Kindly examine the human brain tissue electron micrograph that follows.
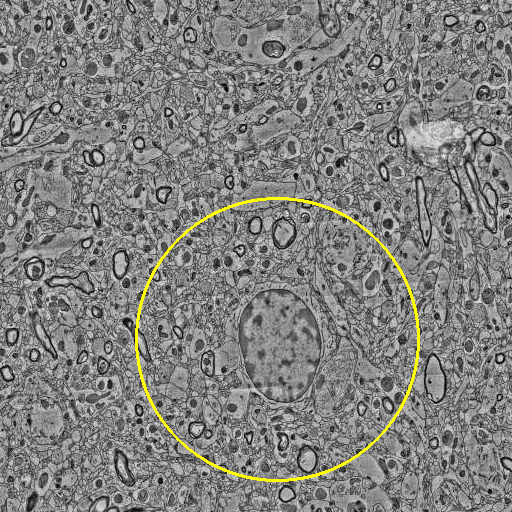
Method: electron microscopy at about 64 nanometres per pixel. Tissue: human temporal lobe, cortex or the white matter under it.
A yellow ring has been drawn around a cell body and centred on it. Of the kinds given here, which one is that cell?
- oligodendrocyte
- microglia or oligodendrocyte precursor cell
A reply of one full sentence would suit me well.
The micrograph's ringed cell, the one at the ring's centre, is a microglial cell or oligodendrocyte precursor cell.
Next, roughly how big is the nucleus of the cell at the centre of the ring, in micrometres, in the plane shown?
The nucleus measures about 7 by 5 micrometres in this plane.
